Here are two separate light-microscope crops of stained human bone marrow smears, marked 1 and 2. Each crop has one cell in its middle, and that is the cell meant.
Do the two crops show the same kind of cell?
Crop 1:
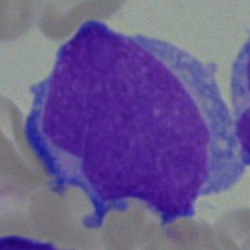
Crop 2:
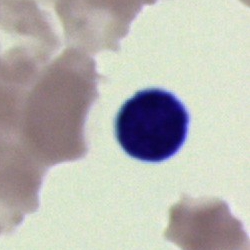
no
